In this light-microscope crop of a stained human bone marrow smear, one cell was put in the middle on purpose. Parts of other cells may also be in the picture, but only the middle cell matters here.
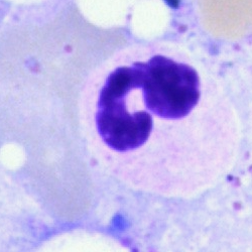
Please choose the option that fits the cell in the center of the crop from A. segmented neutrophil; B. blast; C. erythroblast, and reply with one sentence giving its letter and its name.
The cell shown centrally is a segmented neutrophil; option A is the correct option.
